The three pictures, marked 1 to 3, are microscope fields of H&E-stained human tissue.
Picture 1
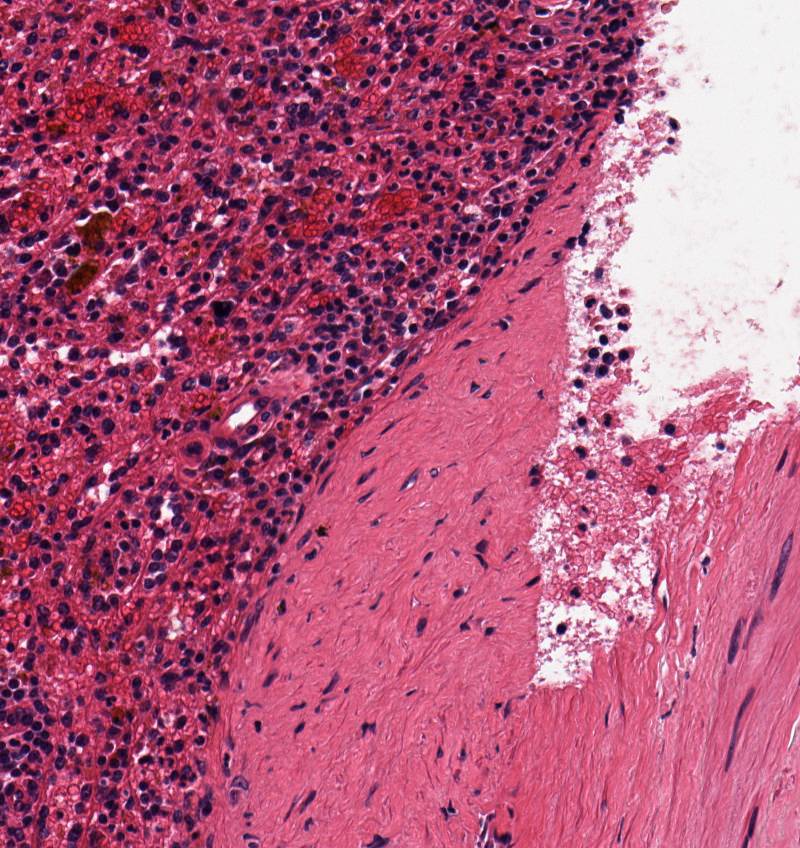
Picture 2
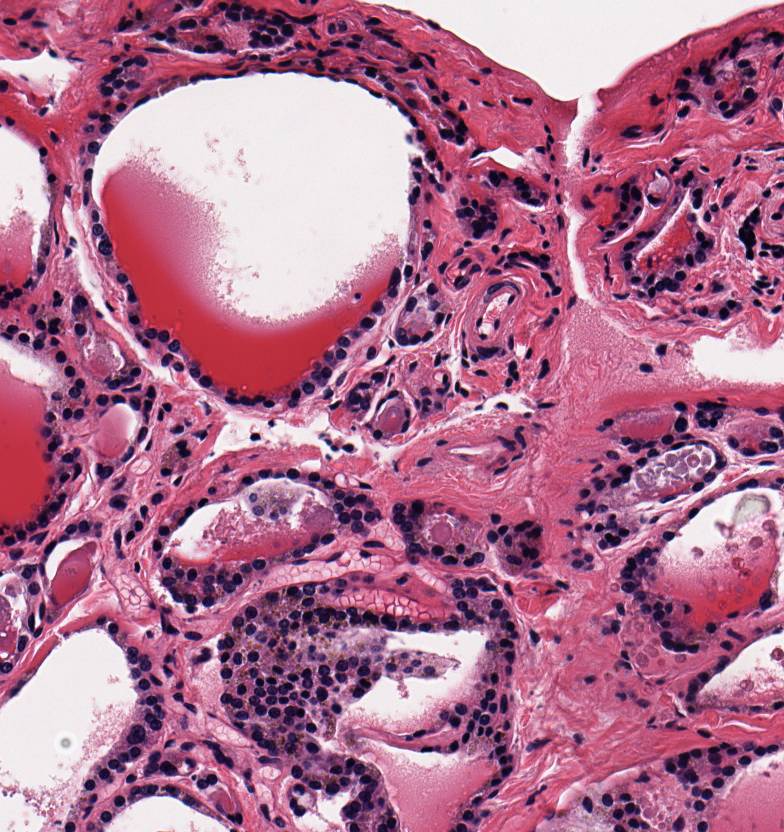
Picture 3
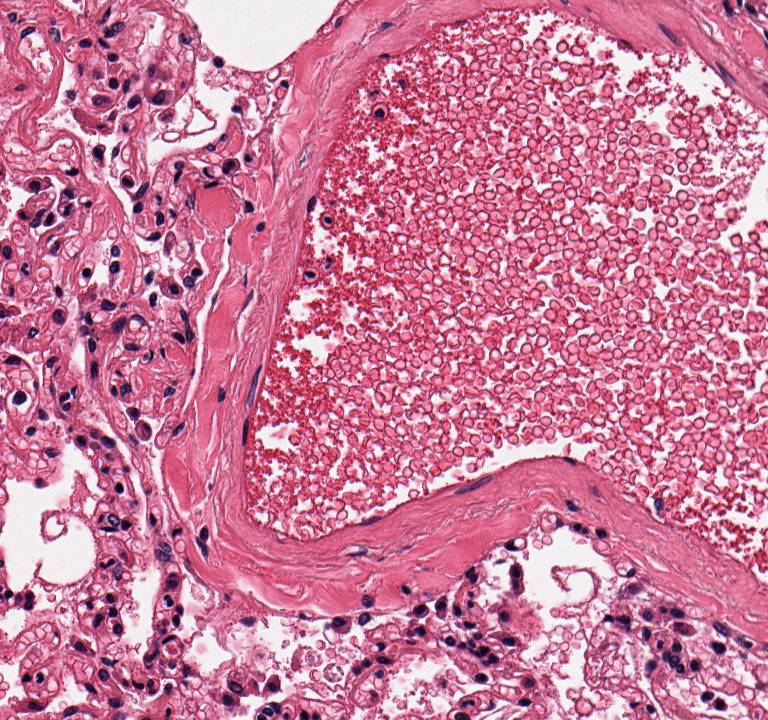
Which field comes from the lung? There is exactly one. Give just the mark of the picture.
3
